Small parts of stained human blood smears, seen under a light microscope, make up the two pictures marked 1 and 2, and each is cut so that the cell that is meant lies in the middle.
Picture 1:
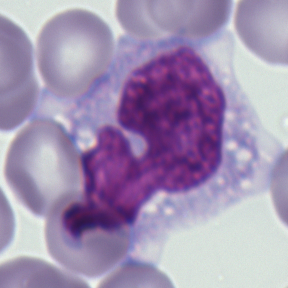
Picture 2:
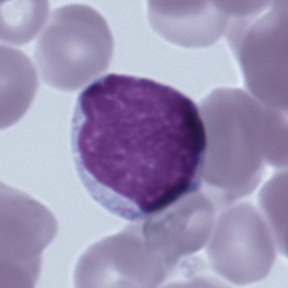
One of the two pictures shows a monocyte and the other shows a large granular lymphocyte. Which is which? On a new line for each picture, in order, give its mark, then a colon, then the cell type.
1: monocyte
2: large granular lymphocyte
